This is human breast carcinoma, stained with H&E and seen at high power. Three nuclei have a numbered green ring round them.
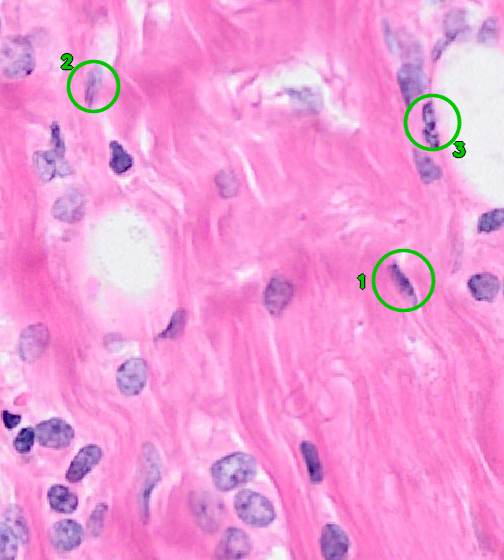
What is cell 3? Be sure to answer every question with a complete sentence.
Number 3 is placed on an endothelial cell here.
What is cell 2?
The numbered cell 2 in this field is a fibroblast.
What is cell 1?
The cell identified by the number 1 is a fibroblast.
